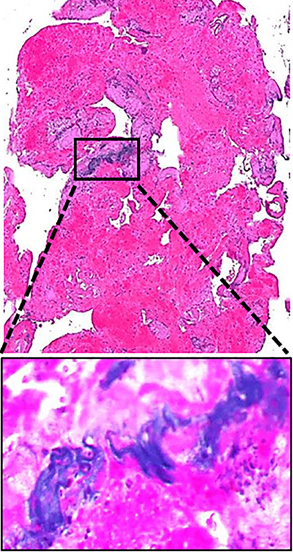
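This is a thrombus made of pink-staining blood and fibrin, into which foreign material is embedded. At low power the clot forms a lobulated, fragmented pink mass with clefts between its parts. At high power these are curled, sheet-like purple fragments with sharp edges and no cell structure, lying within pink fibrin and blood. Their purple colour stands out against the pink clot around them.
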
